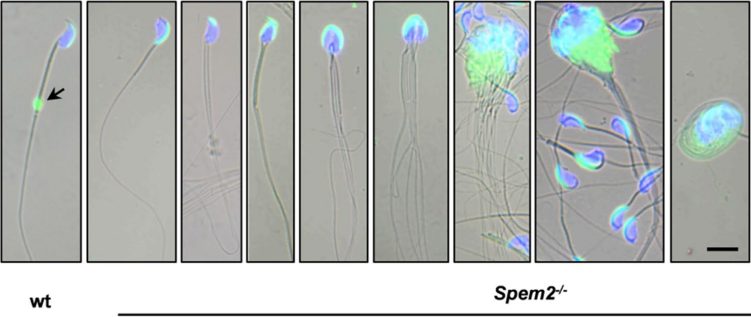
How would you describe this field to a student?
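The first sperm has a hooked head capped by green acrosome and a single tail bearing a small green cytoplasmic droplet near the head. One field shows a cloud of green material surrounded by many hooked heads, and the last shows an oval body with blue and green material enclosed within a rim.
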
